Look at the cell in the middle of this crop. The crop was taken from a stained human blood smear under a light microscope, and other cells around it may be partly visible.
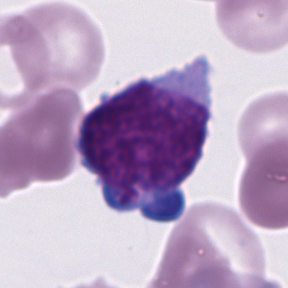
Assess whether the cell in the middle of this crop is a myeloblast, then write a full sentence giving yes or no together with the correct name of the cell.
Yes, that middle cell in the crop is a myeloblast.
